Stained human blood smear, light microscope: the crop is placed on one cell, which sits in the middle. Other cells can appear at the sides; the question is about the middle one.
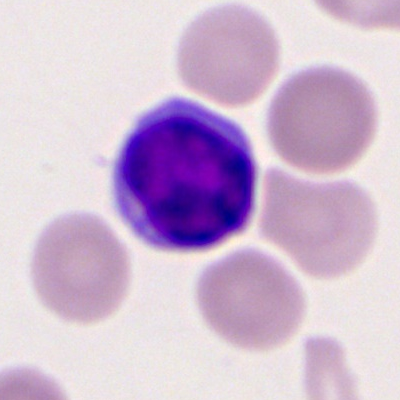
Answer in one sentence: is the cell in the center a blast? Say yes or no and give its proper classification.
No, it is not a blast that sits at the centre but a lymphocyte.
